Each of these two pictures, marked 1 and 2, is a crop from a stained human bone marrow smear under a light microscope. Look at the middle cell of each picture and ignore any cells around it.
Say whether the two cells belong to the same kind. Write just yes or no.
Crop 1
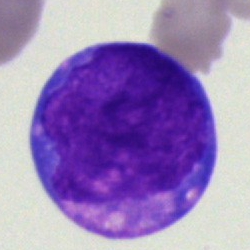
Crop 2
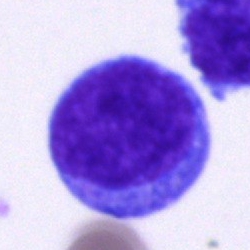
yes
